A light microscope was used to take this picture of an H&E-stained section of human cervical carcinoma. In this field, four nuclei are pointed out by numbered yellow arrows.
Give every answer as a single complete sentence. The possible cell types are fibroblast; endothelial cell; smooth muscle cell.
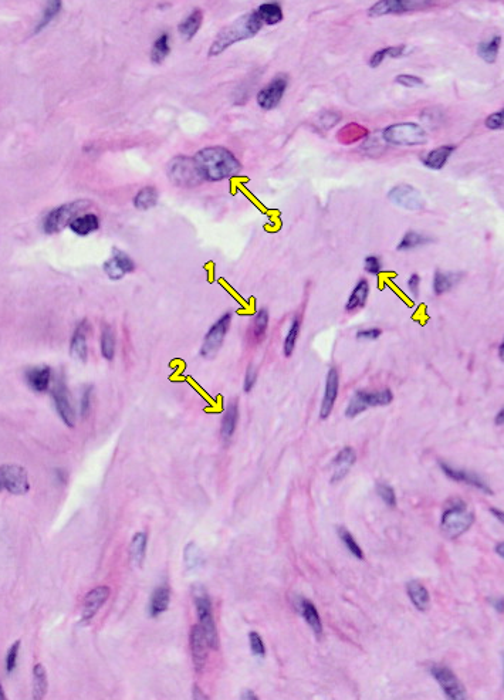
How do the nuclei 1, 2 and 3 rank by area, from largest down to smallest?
Going from the biggest nucleus down to the smallest gives 3, 2, 1.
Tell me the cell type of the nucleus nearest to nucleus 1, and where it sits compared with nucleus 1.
The nearest nucleus is that of a smooth muscle cell and lies below and to the right of nucleus 1.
